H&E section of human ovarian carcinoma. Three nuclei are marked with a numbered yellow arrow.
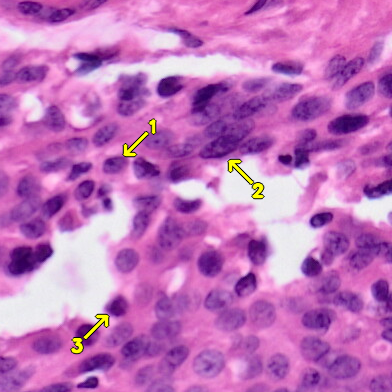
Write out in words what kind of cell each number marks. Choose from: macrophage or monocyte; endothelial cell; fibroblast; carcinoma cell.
Cell 1 is a macrophage or monocyte, cell 2 is a carcinoma cell and cell 3 is a carcinoma cell.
